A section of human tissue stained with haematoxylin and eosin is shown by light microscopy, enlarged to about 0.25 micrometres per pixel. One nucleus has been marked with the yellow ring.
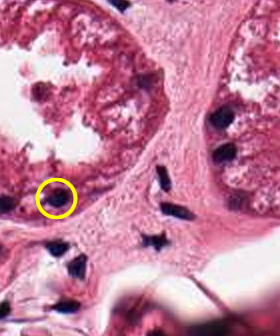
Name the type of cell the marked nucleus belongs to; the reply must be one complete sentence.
In this image, the nucleus that is marked belongs to a proximal tubule cell.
